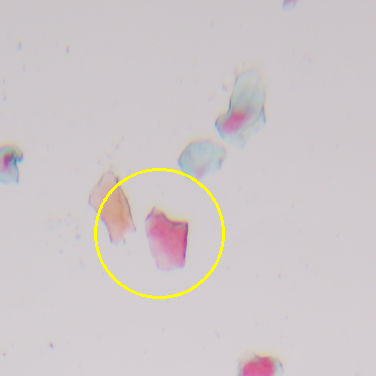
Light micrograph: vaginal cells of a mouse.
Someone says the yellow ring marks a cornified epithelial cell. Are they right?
They are right: it is a cornified epithelial cell.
